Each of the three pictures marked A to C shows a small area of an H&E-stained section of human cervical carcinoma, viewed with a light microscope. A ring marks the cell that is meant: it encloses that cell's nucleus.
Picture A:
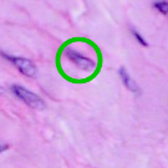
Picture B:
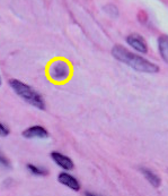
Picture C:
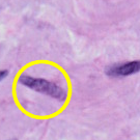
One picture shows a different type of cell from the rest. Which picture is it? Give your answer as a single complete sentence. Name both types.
The others show fibroblasts, but picture A shows a smooth muscle cell.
